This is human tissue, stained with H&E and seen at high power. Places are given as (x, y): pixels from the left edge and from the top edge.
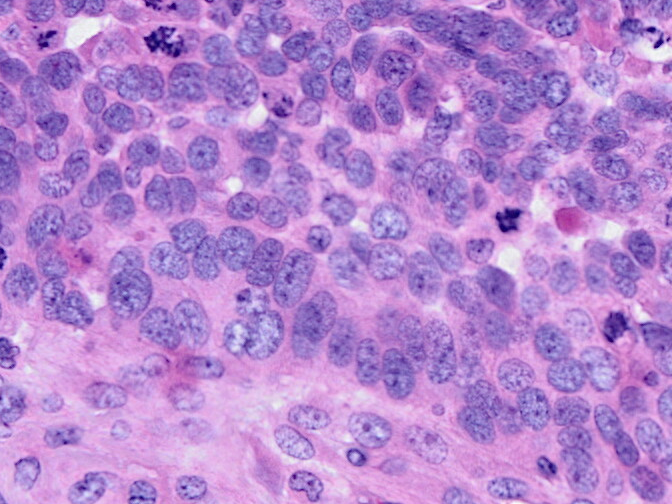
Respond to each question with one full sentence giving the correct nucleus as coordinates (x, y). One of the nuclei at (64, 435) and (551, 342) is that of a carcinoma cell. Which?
The nucleus of a carcinoma cell lies at (551, 342), not at the other position.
